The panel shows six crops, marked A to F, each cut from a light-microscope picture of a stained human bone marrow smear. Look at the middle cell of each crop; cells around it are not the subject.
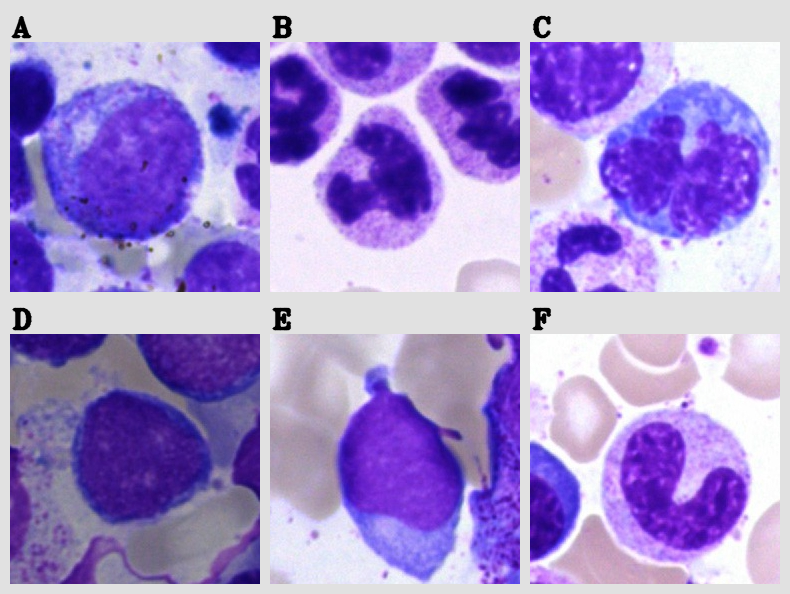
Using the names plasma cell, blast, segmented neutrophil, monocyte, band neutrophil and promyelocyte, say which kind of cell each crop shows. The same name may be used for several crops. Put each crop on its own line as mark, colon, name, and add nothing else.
A: promyelocyte
B: segmented neutrophil
C: monocyte
D: blast
E: blast
F: band neutrophil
